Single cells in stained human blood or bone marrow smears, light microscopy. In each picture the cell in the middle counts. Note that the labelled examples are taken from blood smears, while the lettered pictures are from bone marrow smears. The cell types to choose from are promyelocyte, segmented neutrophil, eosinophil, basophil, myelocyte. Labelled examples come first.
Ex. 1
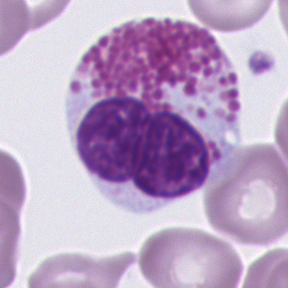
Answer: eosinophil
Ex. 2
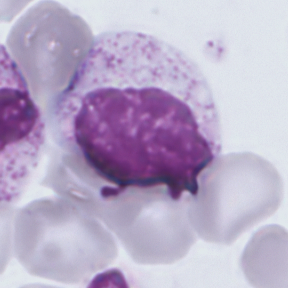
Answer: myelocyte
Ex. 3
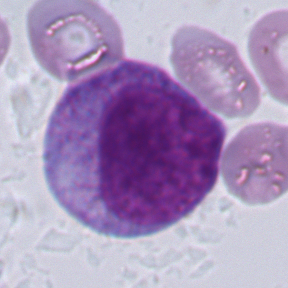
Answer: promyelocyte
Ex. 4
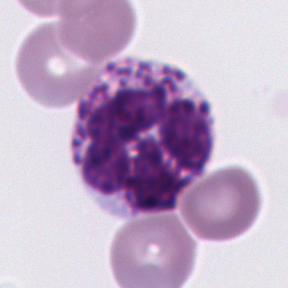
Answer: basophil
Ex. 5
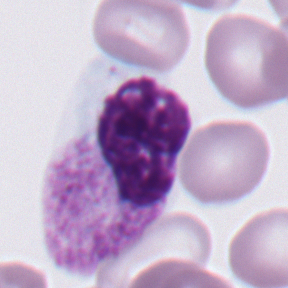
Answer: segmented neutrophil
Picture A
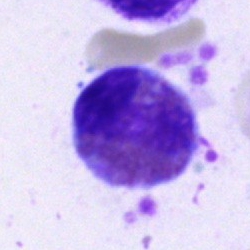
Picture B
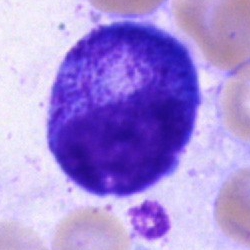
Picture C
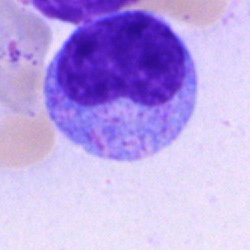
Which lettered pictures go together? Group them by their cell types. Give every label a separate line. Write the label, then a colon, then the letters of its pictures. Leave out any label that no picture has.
promyelocyte: B
eosinophil: A
myelocyte: C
